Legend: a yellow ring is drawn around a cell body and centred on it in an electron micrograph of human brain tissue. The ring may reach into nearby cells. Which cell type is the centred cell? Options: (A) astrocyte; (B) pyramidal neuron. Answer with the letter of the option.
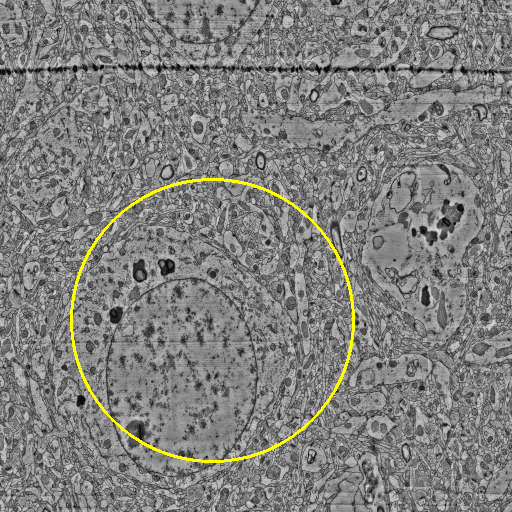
B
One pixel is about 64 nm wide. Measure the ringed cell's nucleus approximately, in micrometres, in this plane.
The nucleus of the ringed cell is approximately 13 by 10 micrometres in this plane.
